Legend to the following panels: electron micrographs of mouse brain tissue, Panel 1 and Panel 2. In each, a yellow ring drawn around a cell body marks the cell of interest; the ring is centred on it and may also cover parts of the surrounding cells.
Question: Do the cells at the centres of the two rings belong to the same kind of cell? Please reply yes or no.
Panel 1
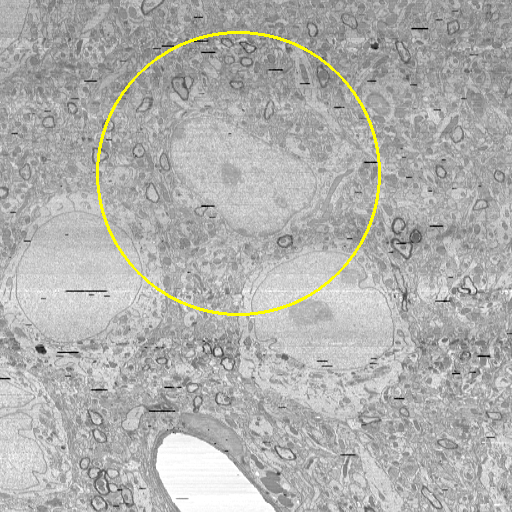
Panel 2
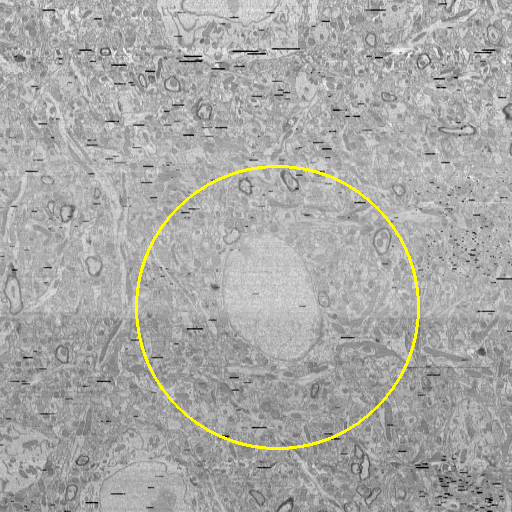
yes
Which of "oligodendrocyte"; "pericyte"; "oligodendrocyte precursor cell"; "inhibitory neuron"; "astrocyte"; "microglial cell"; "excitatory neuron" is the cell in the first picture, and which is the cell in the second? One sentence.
The ring centre holds an astrocyte in each of the two pictures.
